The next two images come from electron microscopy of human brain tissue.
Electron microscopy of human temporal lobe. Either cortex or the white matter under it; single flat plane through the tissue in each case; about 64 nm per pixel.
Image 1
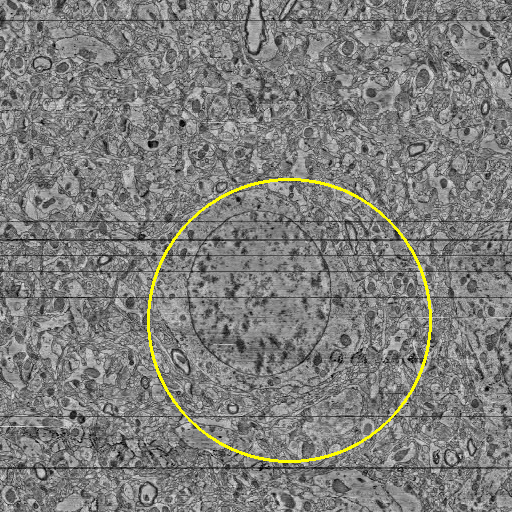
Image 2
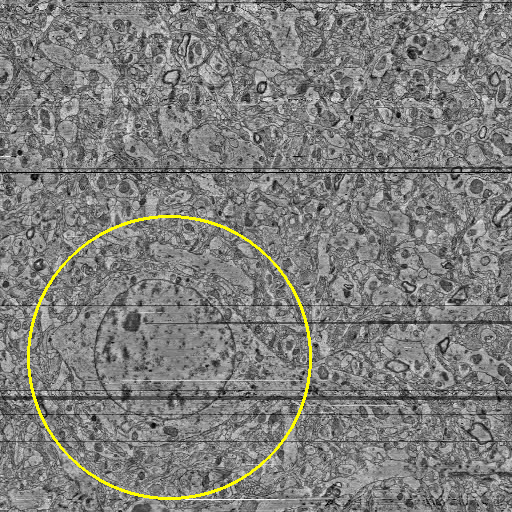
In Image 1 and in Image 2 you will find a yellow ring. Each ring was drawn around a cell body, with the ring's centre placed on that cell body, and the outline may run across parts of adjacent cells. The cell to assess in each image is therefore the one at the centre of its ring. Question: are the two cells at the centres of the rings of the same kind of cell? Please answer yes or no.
yes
